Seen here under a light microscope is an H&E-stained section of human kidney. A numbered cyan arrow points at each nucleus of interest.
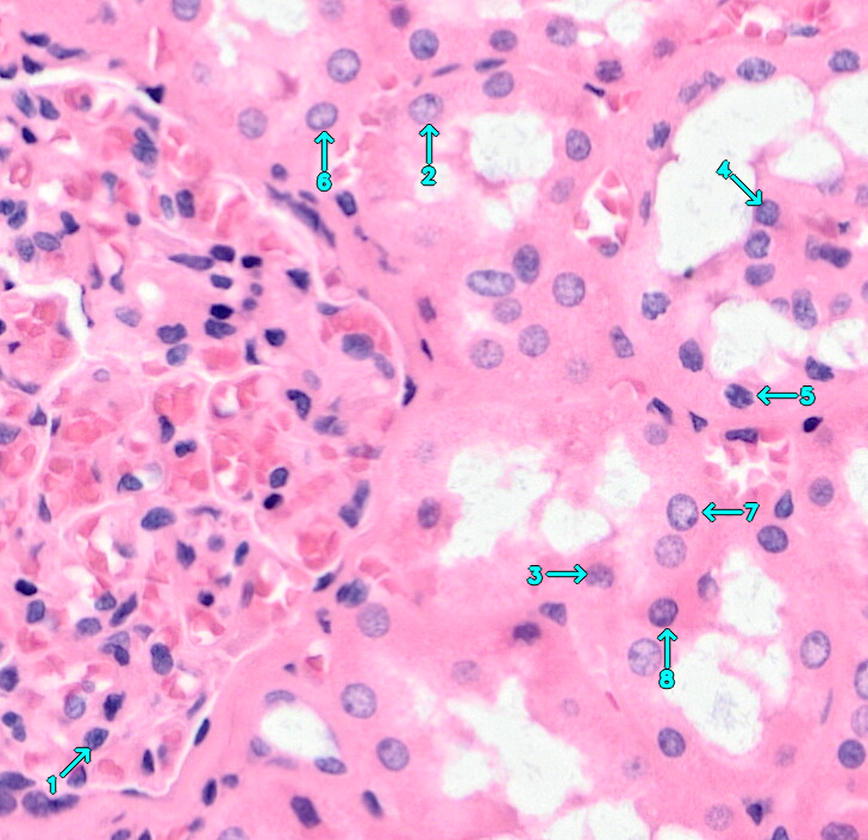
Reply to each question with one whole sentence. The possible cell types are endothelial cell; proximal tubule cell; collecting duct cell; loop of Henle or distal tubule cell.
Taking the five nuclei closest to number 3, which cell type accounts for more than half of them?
Of the five nuclei nearest to number 3, most belong to proximal tubule cells.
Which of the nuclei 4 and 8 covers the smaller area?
Nucleus 4 is the smaller one; nucleus 8 covers about 1.5 times its area.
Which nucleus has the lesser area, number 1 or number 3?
Nucleus 1 covers less area, with nucleus 3 about 1.5 times as large.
